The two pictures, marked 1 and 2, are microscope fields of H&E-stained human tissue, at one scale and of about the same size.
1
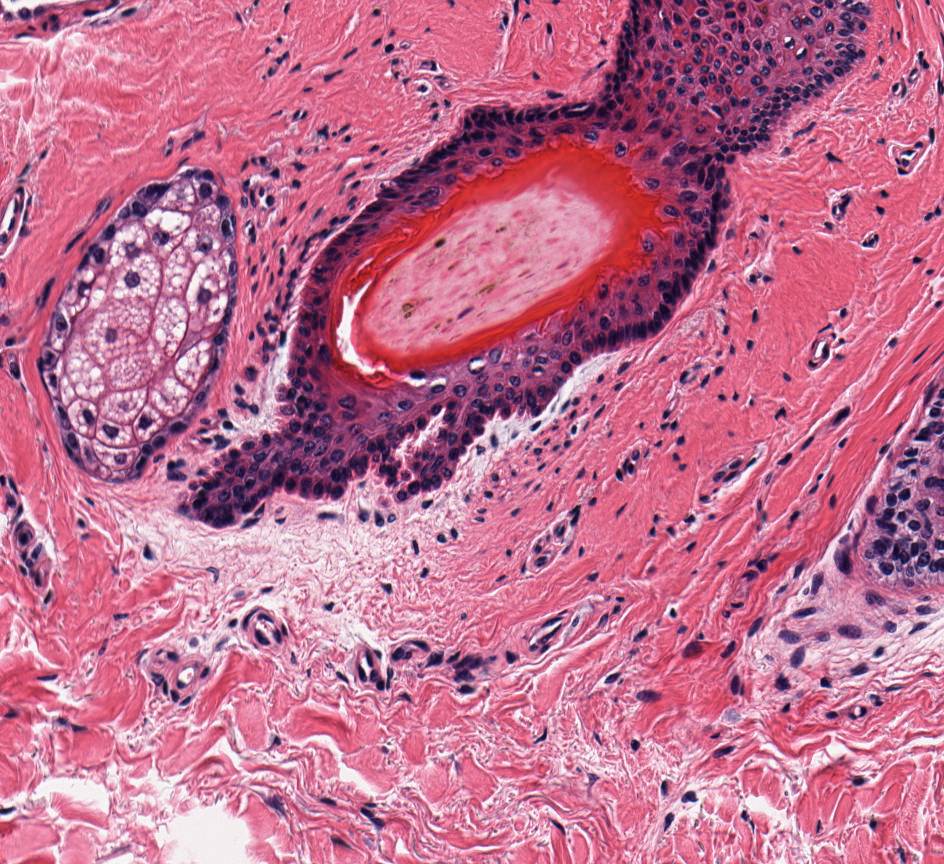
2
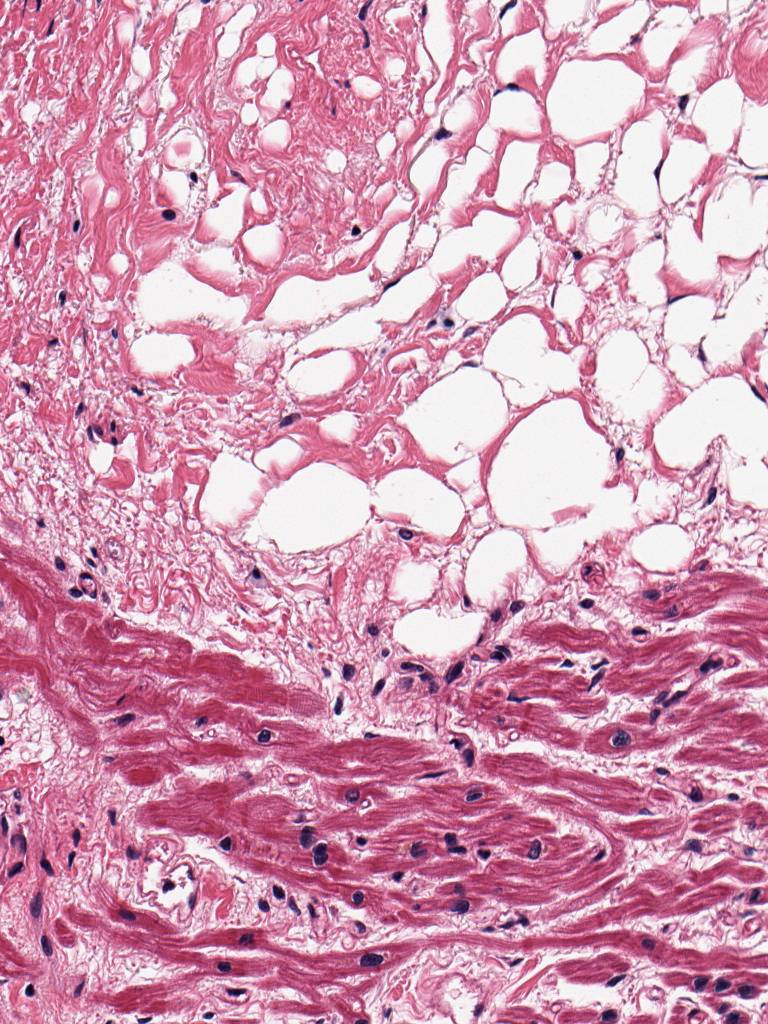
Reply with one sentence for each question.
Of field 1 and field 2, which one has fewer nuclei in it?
Field 2 holds fewer nuclei than field 1.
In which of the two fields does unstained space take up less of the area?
It is field 1 that stained tissue fills more completely.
